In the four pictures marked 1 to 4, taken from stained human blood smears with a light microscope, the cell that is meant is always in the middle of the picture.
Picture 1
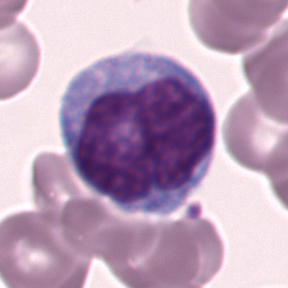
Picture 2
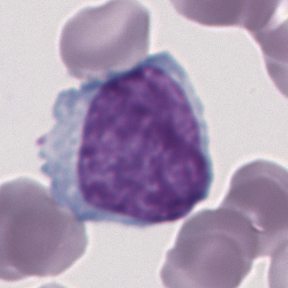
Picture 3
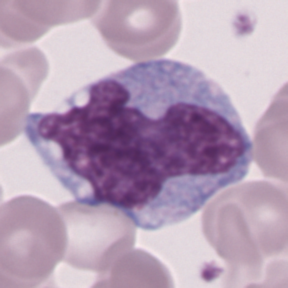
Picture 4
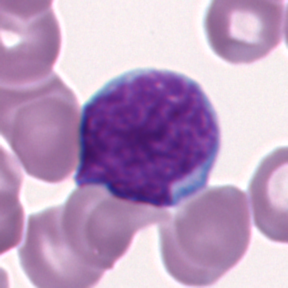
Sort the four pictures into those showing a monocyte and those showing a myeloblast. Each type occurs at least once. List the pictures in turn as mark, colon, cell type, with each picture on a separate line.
1: monocyte
2: myeloblast
3: monocyte
4: myeloblast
